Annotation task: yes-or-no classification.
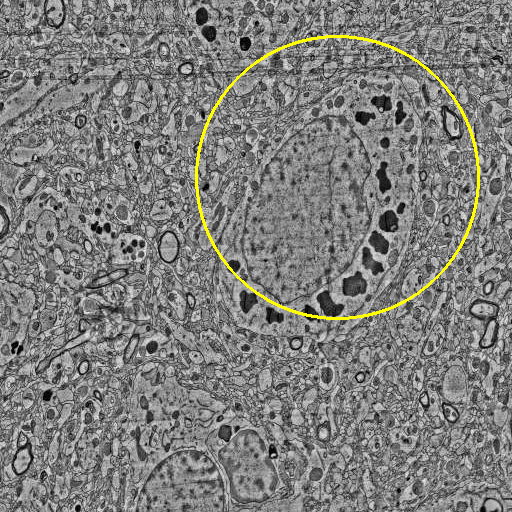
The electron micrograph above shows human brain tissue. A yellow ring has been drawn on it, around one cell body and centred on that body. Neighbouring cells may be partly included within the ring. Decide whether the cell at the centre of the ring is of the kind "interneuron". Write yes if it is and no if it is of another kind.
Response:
yes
